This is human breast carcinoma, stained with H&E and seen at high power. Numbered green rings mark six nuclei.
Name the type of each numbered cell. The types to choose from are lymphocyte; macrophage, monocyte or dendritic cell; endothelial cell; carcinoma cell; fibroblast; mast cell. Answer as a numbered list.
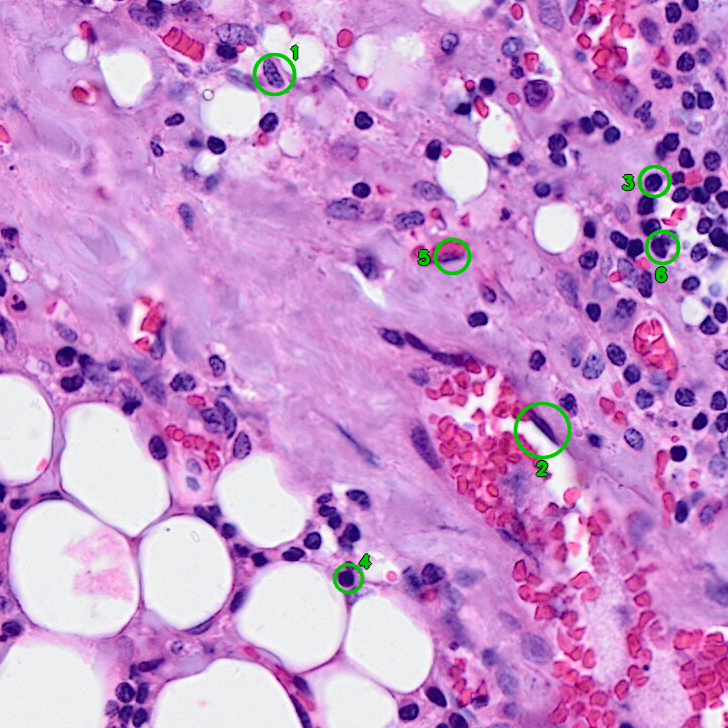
1. mast cell
2. endothelial cell
3. lymphocyte
4. lymphocyte
5. endothelial cell
6. lymphocyte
